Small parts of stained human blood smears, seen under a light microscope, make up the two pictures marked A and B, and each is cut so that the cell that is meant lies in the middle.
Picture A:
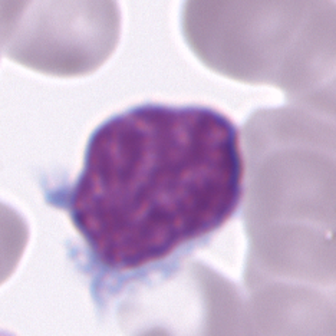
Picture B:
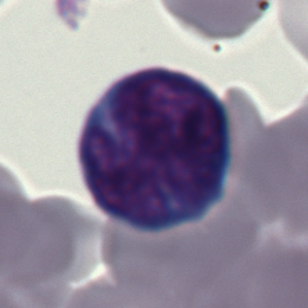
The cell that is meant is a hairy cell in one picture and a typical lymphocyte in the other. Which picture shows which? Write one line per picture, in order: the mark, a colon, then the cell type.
A: hairy cell
B: typical lymphocyte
